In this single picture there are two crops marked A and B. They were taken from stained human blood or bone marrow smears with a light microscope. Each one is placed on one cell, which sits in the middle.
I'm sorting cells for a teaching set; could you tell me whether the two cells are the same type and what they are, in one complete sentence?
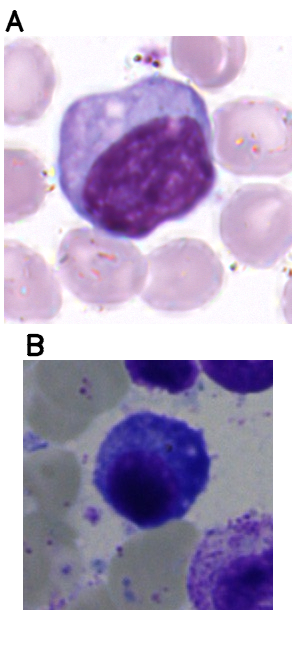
Yes, the centre of both crops is taken up by plasma cells.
